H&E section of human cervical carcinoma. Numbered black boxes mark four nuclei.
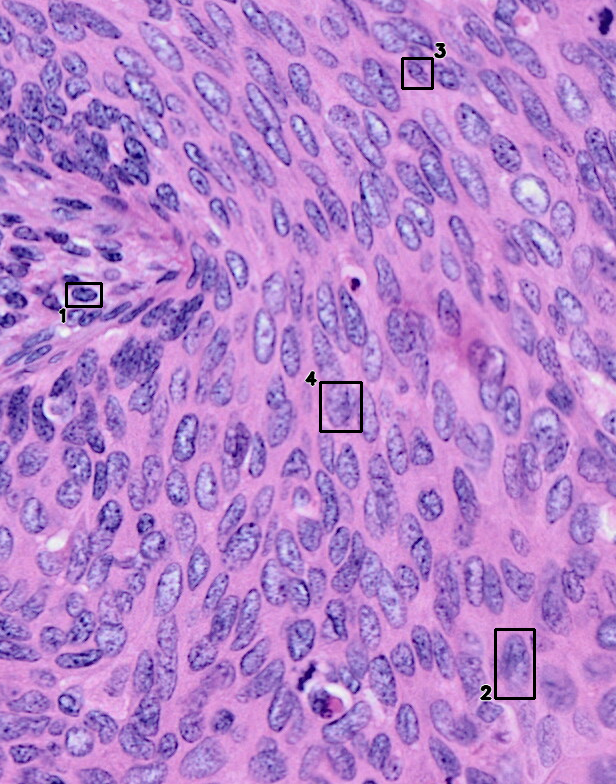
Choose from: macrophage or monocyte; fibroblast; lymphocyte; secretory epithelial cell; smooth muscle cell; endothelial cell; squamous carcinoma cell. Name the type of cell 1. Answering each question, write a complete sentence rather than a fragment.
What the number 1 marks in this field is a lymphocyte.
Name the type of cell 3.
That cell with number 3 is a squamous carcinoma cell.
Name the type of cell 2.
In the tissue shown, cell 2 is a squamous carcinoma cell.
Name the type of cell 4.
The cell to which the number 4 is assigned is a squamous carcinoma cell.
